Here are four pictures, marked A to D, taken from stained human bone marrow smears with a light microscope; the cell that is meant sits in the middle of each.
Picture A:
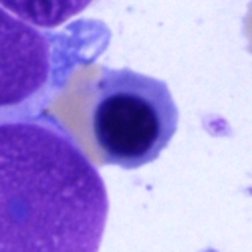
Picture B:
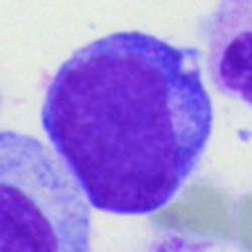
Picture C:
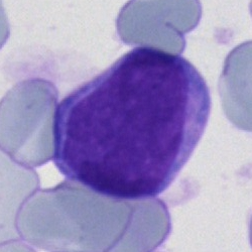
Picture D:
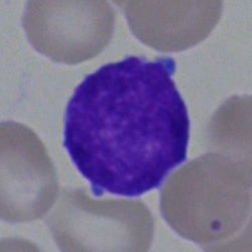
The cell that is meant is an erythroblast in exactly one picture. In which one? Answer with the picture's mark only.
A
